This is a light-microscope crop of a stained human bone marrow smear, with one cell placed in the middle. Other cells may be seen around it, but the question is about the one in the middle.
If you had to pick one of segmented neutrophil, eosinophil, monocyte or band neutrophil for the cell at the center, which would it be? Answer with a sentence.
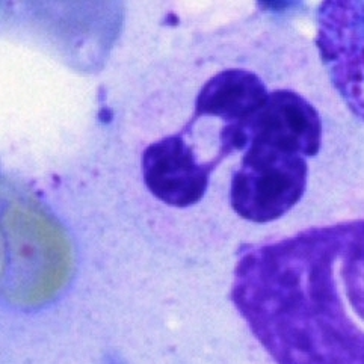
Present in the middle of the crop is a segmented neutrophil.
